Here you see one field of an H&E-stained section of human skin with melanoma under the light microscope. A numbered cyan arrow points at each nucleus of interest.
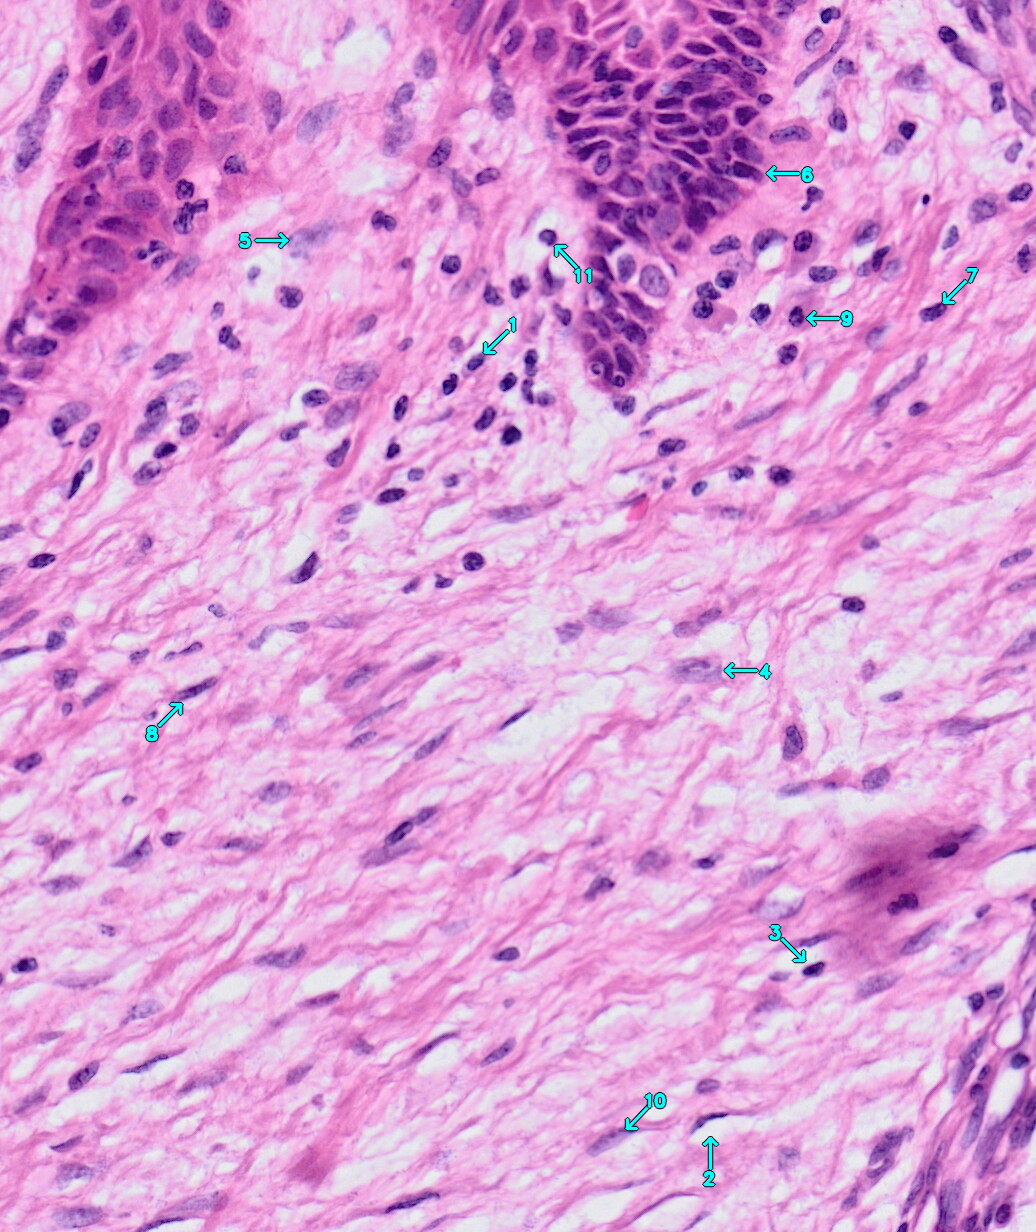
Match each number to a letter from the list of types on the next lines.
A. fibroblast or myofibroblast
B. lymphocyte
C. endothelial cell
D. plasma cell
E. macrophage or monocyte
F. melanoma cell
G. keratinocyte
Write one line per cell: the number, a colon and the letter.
1: B
2: A
3: B
4: A
5: A
6: G
7: B
8: A
9: D
10: A
11: B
